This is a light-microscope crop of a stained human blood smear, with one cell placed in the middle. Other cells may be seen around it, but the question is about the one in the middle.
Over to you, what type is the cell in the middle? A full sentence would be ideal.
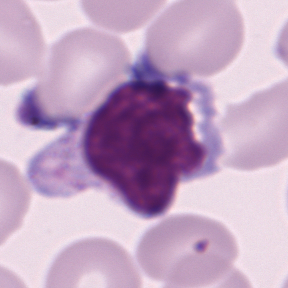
Framed in the middle of the crop is a large granular lymphocyte.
